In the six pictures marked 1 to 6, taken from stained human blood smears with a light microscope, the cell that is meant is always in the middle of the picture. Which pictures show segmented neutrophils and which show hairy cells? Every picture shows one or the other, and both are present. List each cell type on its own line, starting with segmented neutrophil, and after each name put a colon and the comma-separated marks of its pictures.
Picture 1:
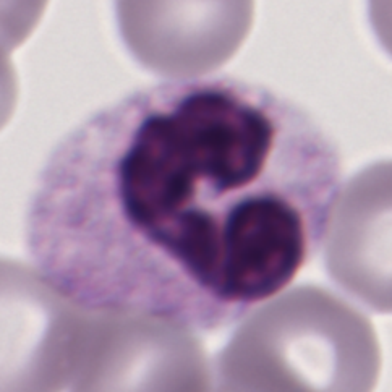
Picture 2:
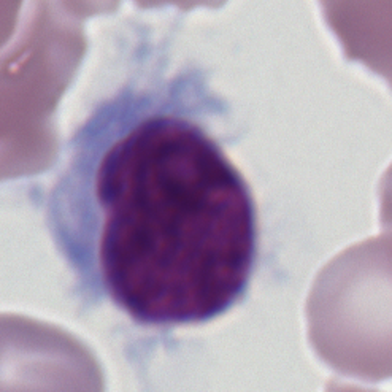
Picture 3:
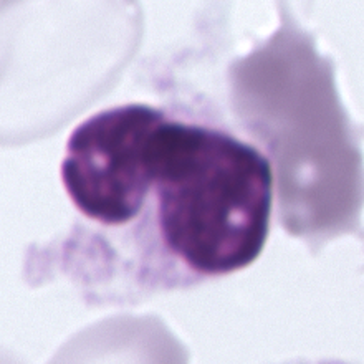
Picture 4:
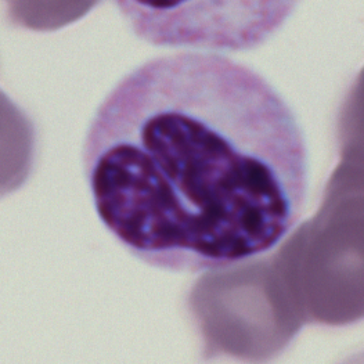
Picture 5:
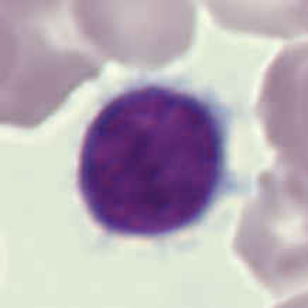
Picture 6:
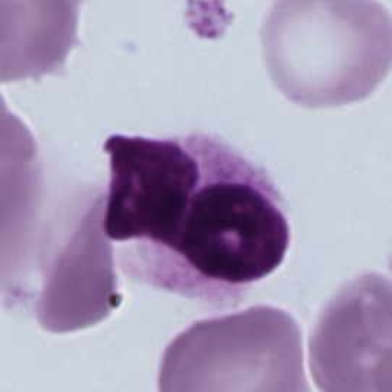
segmented neutrophil: 1, 3, 4, 6
hairy cell: 2, 5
